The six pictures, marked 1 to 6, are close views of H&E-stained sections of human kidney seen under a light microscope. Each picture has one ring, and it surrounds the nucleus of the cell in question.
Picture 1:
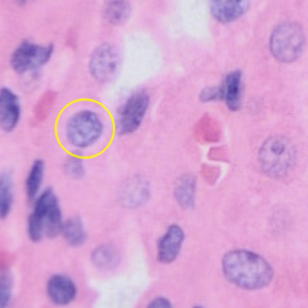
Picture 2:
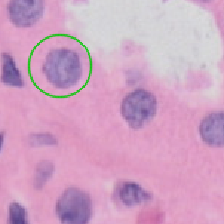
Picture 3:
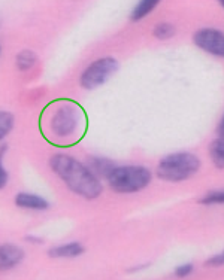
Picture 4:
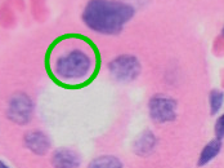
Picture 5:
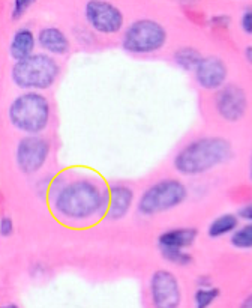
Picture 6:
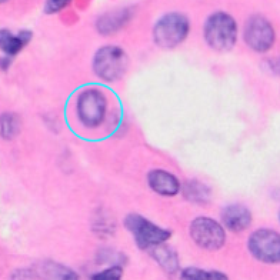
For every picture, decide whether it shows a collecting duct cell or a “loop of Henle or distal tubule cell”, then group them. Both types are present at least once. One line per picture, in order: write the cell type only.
loop of Henle or distal tubule cell
loop of Henle or distal tubule cell
collecting duct cell
loop of Henle or distal tubule cell
collecting duct cell
collecting duct cell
